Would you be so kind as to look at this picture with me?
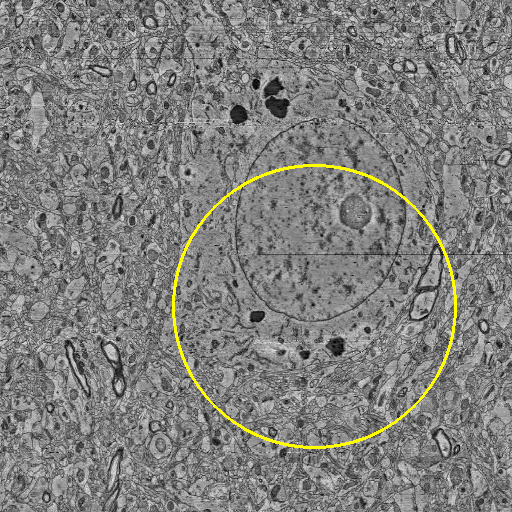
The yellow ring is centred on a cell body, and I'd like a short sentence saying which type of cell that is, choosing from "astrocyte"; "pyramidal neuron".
The cell body in the ring belongs to a pyramidal neuron.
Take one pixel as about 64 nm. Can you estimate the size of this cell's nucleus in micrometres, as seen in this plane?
In this plane, about 14 micrometres in length and 12 in width.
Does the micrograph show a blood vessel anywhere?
No.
